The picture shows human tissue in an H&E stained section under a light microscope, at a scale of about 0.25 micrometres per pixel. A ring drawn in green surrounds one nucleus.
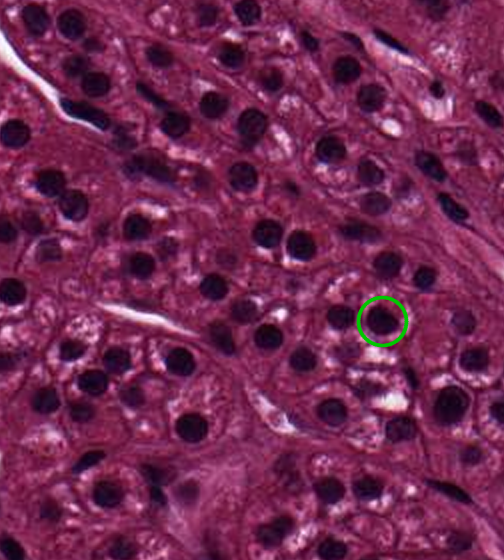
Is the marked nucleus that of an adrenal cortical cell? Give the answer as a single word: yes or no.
yes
